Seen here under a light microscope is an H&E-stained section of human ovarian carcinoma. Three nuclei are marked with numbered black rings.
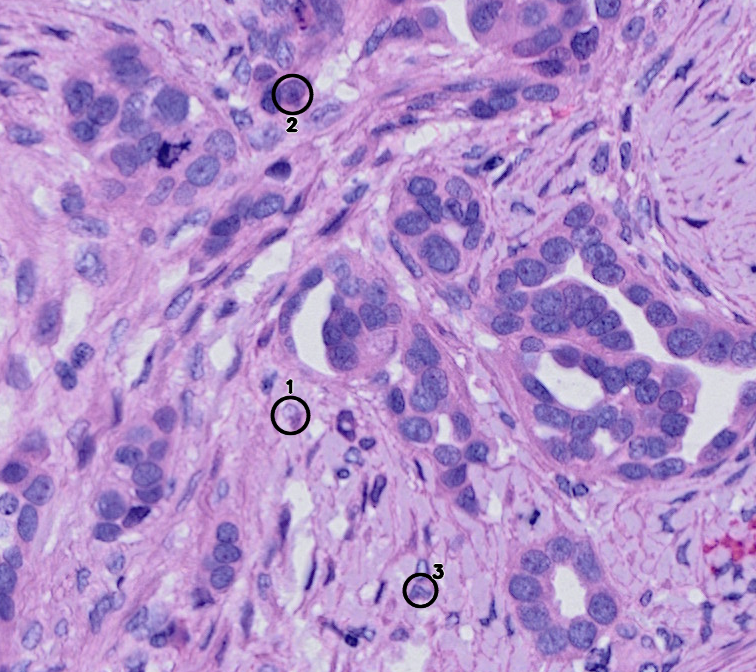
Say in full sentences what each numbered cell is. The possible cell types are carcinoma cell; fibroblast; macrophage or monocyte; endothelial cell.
Cells 1 and 3 are fibroblasts. Cell 2 is a carcinoma cell.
